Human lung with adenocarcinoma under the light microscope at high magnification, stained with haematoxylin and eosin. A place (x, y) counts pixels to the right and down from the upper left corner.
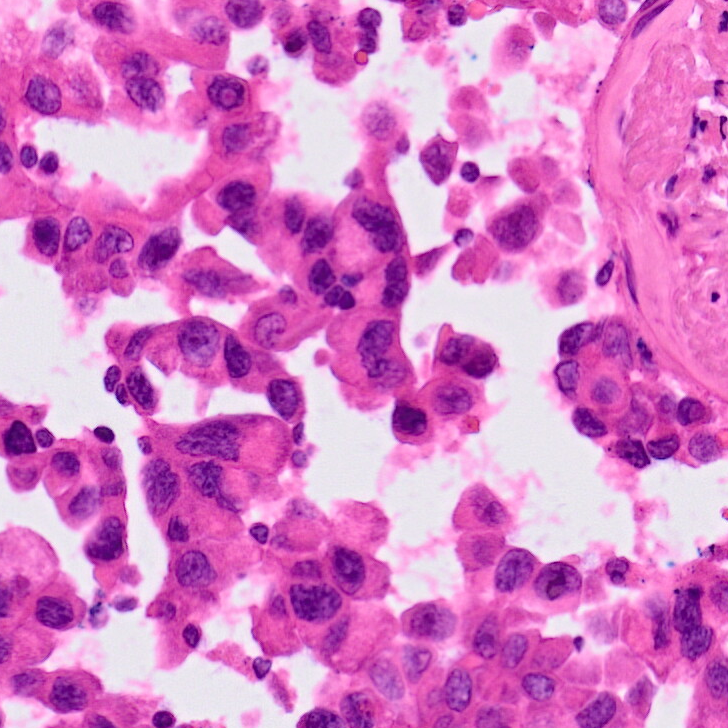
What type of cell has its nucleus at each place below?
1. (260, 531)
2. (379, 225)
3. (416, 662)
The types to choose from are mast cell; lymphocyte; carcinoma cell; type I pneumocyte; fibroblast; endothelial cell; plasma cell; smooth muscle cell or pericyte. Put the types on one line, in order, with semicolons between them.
lymphocyte; carcinoma cell; carcinoma cell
